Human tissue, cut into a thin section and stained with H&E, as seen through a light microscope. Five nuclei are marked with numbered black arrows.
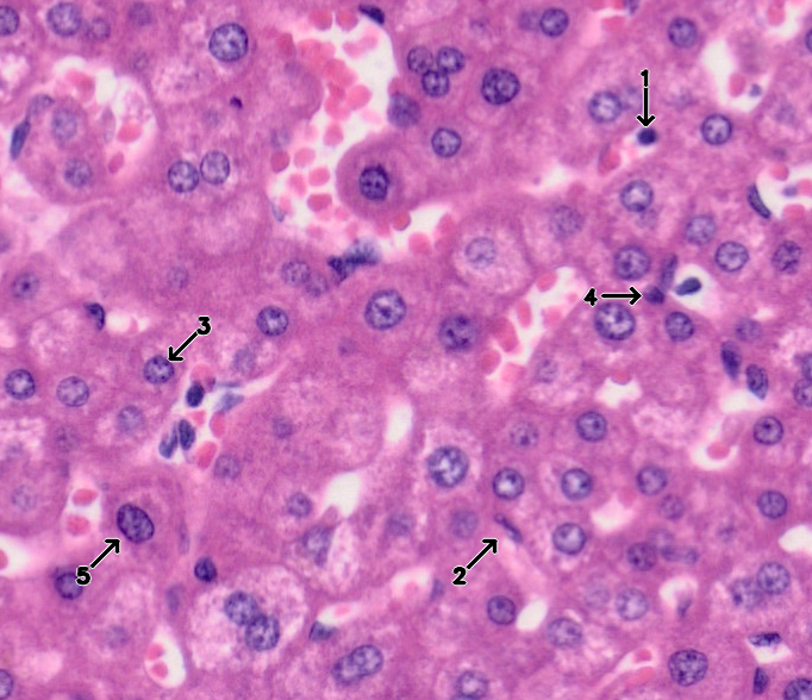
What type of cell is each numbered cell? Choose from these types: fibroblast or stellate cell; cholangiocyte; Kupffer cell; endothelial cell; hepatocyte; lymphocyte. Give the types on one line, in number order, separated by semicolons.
lymphocyte; endothelial cell; hepatocyte; fibroblast or stellate cell; hepatocyte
